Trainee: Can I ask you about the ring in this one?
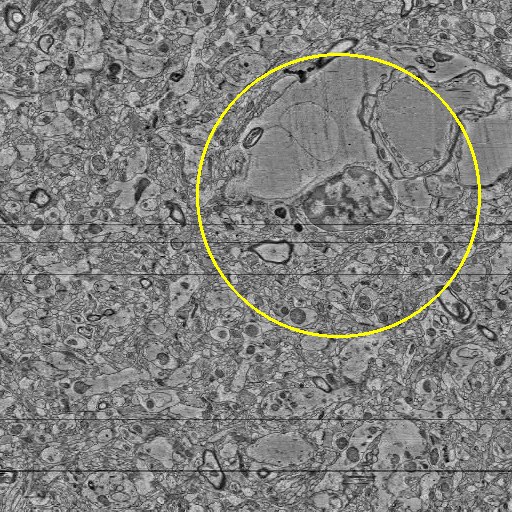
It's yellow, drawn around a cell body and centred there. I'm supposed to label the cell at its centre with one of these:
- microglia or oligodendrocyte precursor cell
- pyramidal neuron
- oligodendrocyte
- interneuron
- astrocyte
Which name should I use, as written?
microglia or oligodendrocyte precursor cell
